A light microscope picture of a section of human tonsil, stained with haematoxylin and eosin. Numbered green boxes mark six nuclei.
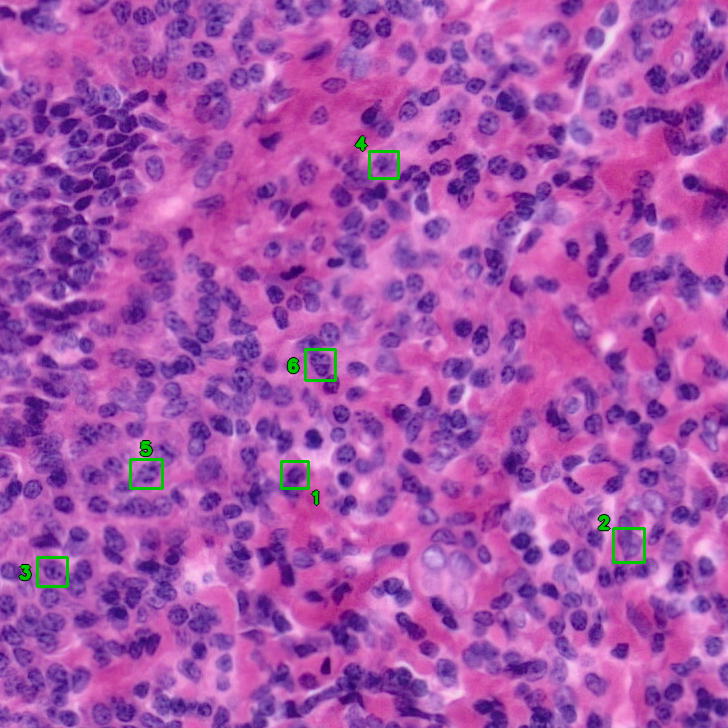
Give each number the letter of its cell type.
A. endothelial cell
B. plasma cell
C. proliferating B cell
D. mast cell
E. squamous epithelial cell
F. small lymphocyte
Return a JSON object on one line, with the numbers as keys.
{"1": "B", "2": "A", "3": "B", "4": "A", "5": "B", "6": "B"}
